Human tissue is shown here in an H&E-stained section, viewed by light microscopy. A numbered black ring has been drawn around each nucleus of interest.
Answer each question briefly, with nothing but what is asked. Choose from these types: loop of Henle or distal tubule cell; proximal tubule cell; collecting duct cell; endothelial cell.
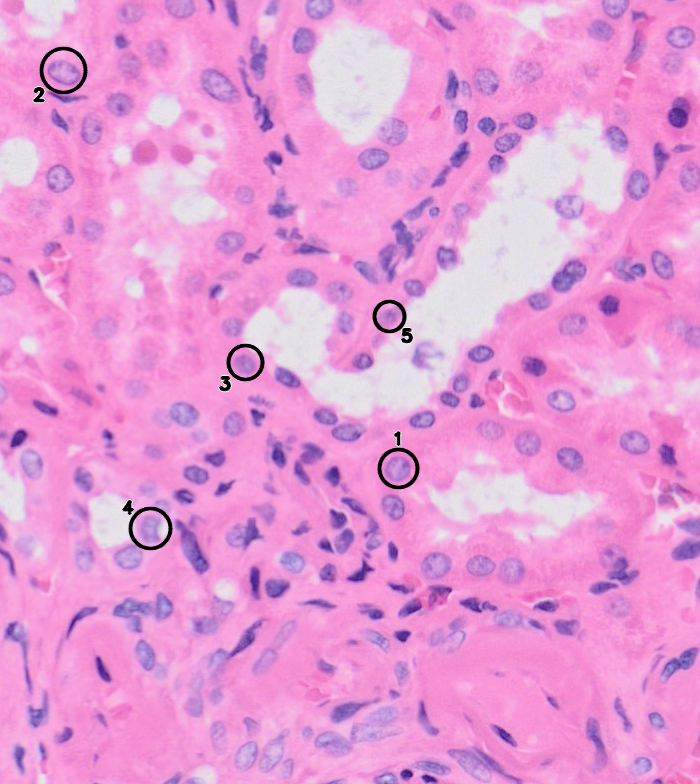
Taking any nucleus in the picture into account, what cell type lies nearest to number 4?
collecting duct cell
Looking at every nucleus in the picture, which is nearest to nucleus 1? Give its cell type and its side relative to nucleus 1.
a proximal tubule cell below nucleus 1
